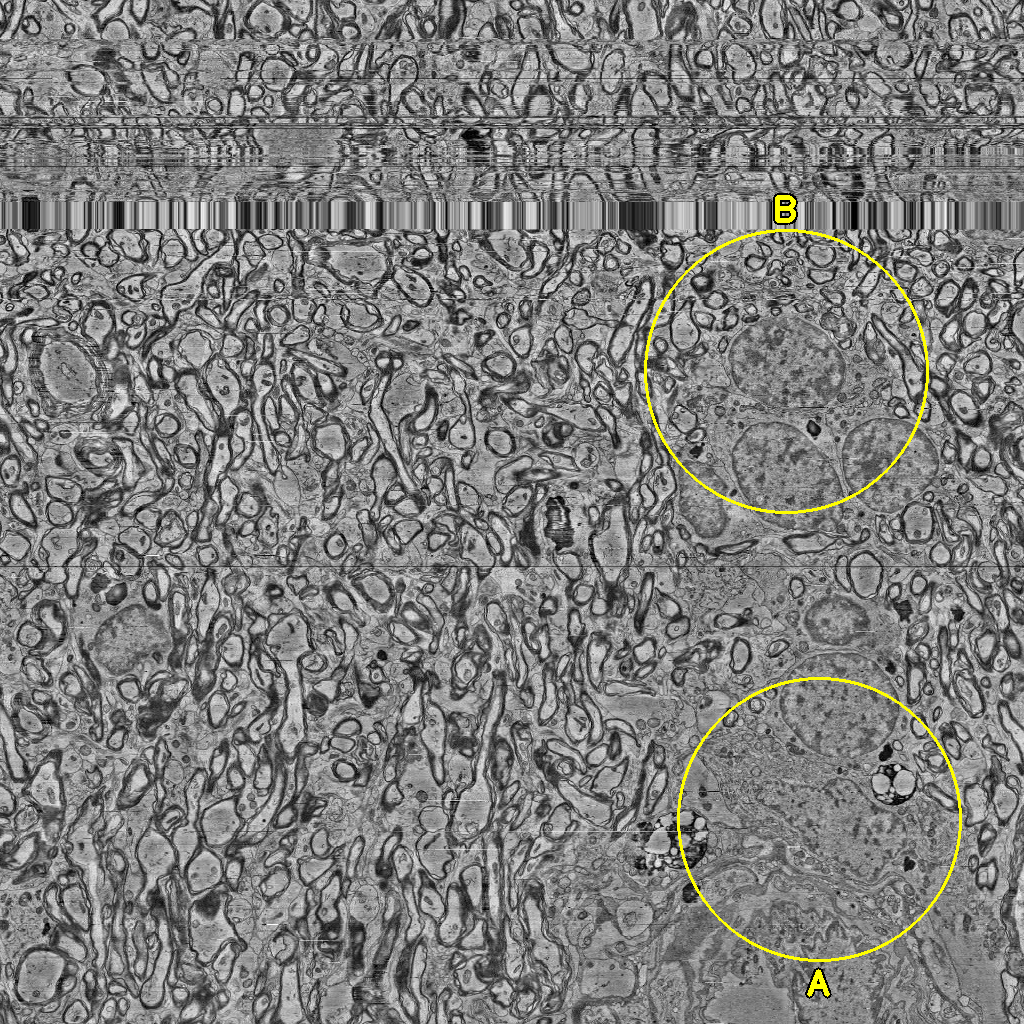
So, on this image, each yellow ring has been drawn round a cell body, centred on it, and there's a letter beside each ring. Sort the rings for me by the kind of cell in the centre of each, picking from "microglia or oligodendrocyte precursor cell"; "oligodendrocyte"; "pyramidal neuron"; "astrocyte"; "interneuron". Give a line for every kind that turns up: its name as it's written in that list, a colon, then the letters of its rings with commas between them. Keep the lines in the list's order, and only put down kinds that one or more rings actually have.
oligodendrocyte: B
astrocyte: A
